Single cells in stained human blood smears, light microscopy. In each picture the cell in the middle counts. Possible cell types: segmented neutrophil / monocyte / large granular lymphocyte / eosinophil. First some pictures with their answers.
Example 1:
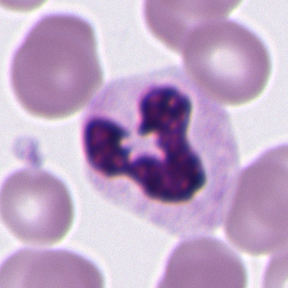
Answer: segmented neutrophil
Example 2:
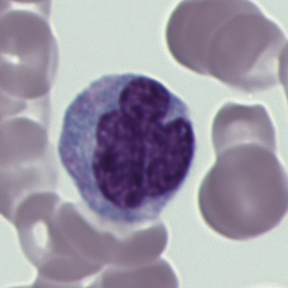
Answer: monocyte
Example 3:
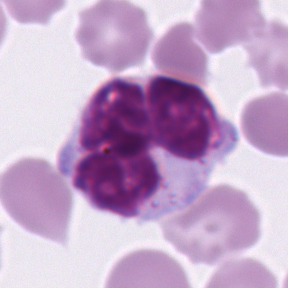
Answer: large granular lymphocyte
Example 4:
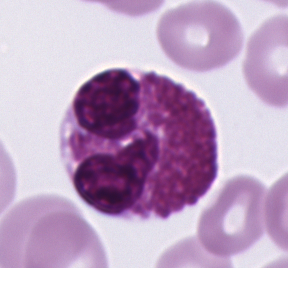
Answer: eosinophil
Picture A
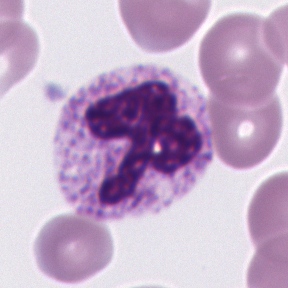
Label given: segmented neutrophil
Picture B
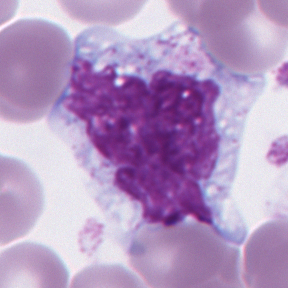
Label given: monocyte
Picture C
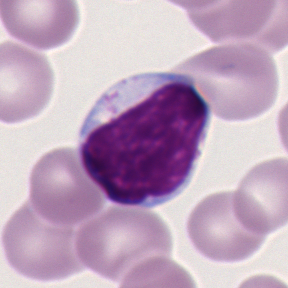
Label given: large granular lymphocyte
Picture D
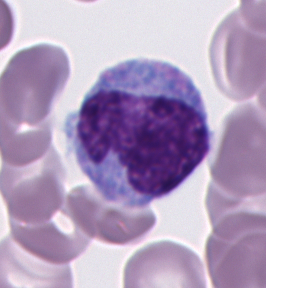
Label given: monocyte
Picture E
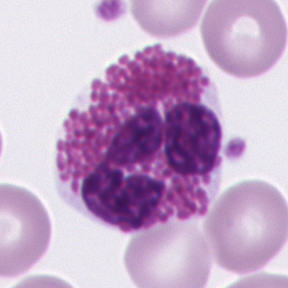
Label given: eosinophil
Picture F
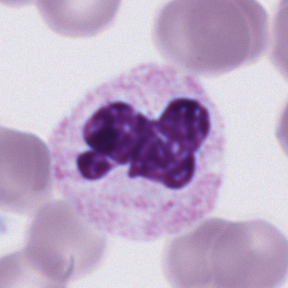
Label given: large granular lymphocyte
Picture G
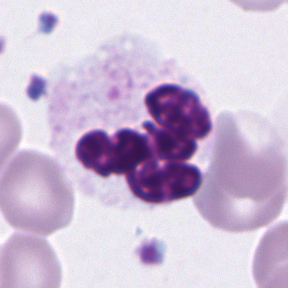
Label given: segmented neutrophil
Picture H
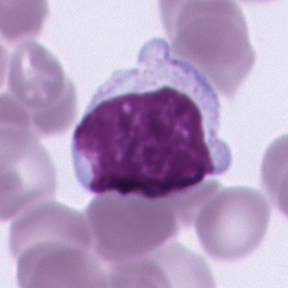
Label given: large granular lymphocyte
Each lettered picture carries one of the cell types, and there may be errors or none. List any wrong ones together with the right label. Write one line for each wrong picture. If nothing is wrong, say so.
F: segmented neutrophil, not large granular lymphocyte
